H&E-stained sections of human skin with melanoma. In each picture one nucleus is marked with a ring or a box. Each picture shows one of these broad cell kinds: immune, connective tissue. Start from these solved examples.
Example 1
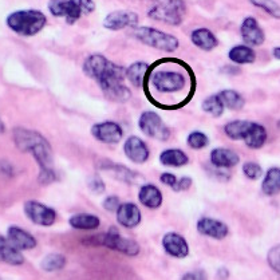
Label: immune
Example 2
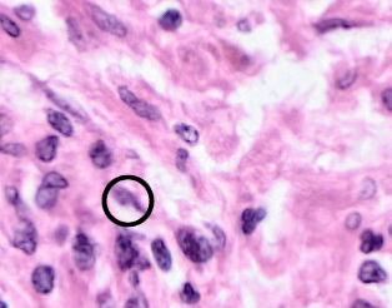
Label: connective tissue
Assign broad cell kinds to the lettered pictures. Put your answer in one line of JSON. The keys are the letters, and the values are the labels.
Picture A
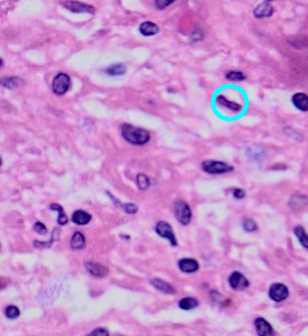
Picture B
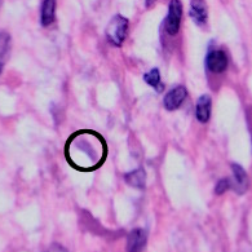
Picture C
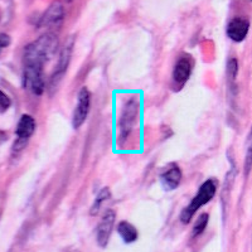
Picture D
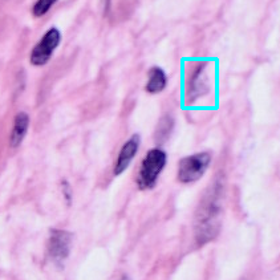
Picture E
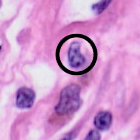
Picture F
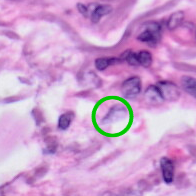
{"A": "connective tissue", "B": "connective tissue", "C": "connective tissue", "D": "connective tissue", "E": "immune", "F": "connective tissue"}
